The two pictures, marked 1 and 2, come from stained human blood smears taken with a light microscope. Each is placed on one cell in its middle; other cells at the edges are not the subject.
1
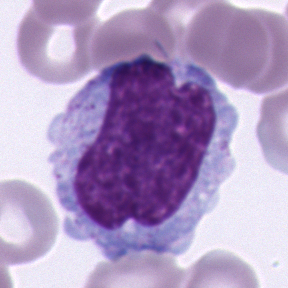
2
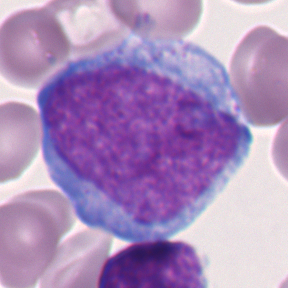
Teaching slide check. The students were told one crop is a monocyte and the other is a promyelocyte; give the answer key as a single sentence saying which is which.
The one in crop 1 is a monocyte, and the one in crop 2 is a promyelocyte.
